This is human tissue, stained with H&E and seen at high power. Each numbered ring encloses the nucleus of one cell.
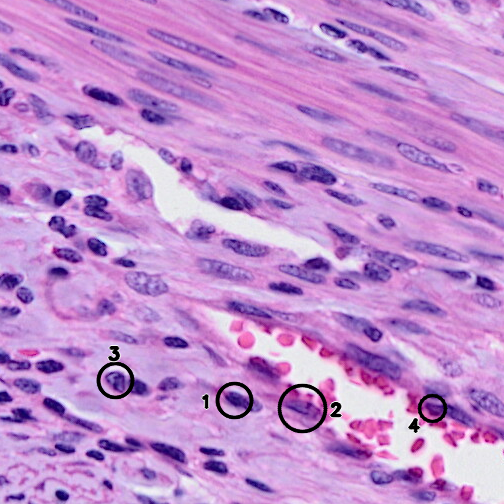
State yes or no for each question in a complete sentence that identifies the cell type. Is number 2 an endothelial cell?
Yes, the one with the number 2 is an endothelial cell.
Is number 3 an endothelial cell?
No, a lymphocyte, not an endothelial cell, is the cell with number 3.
